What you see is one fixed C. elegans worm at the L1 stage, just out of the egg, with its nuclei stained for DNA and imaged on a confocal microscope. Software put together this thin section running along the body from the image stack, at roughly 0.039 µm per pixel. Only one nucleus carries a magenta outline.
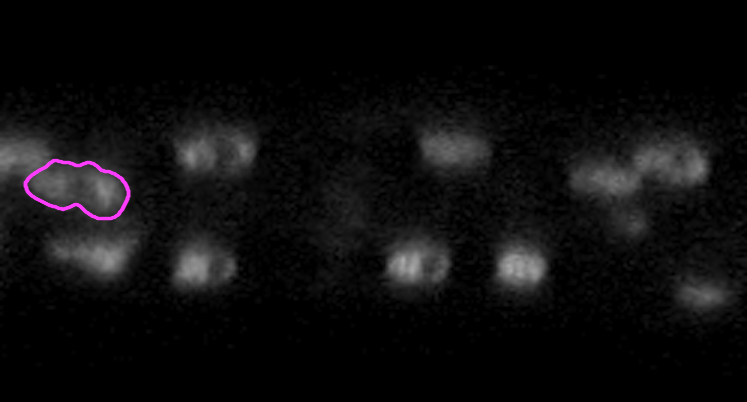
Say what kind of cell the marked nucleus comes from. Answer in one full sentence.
The marked cell is an intestinal cell.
